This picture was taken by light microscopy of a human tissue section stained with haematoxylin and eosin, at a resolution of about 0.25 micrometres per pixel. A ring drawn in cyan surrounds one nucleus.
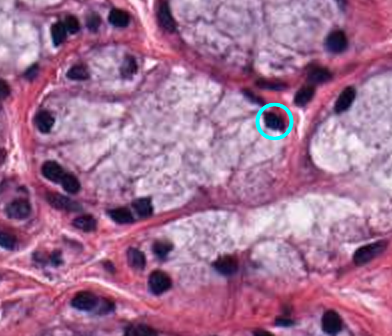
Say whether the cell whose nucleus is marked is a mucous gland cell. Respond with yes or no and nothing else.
yes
